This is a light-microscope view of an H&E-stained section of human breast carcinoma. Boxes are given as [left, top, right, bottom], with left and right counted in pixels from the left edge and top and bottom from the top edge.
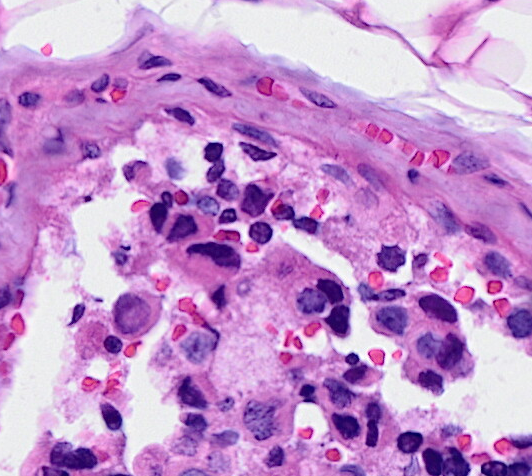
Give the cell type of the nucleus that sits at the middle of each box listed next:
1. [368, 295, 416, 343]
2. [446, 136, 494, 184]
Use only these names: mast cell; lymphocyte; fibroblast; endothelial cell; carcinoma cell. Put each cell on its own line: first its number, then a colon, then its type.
1: carcinoma cell
2: endothelial cell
